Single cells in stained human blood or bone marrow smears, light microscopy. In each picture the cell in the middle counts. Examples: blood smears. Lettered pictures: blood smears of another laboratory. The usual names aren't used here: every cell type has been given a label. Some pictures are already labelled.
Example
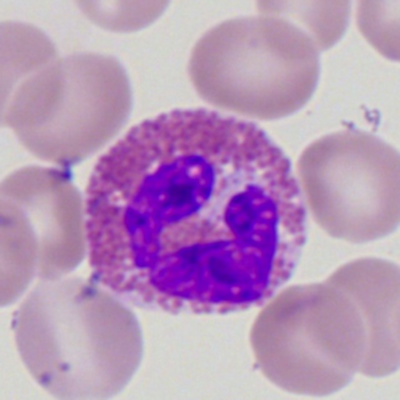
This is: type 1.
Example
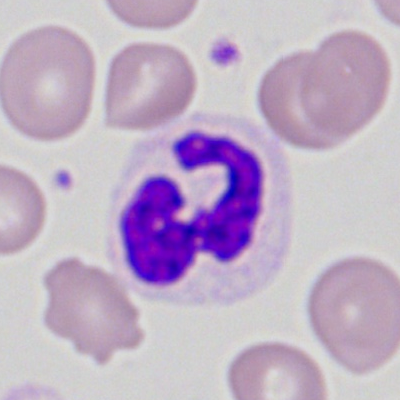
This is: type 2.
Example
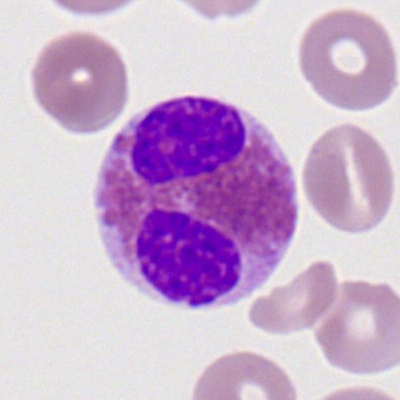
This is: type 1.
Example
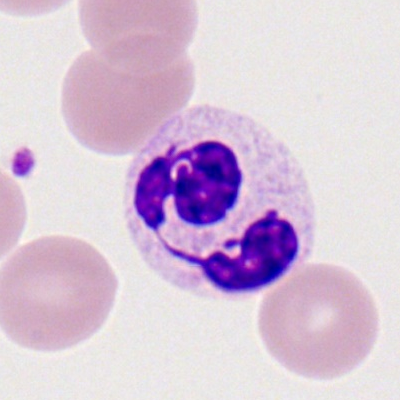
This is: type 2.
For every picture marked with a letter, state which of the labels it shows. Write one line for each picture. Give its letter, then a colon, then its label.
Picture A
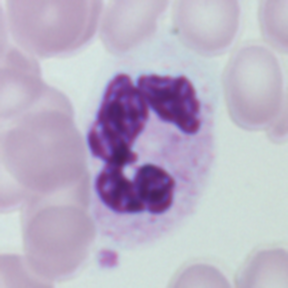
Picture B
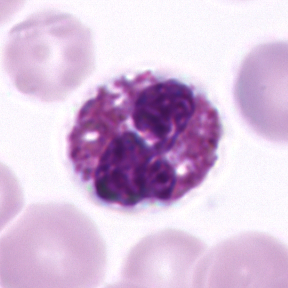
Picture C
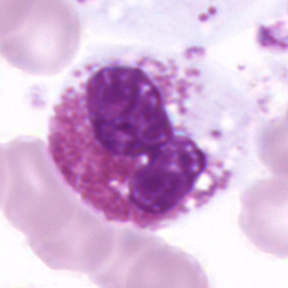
A: type 2.
B: type 1.
C: type 1.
